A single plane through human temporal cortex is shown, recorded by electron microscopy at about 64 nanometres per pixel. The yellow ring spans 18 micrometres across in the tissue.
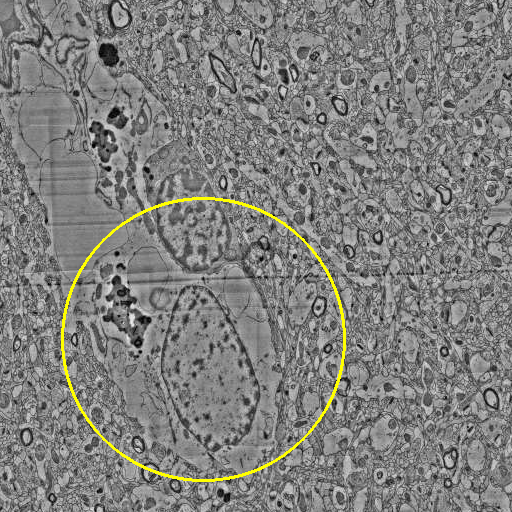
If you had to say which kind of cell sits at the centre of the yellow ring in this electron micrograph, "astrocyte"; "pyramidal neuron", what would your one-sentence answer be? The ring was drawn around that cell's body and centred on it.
The cell sitting at the centre of the ring is an astrocyte.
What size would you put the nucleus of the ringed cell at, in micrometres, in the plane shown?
Approximately 10 micrometres long and 6 micrometres wide, so clearly longer than it is wide in this plane.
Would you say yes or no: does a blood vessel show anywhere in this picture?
Yes, a blood vessel can be seen.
